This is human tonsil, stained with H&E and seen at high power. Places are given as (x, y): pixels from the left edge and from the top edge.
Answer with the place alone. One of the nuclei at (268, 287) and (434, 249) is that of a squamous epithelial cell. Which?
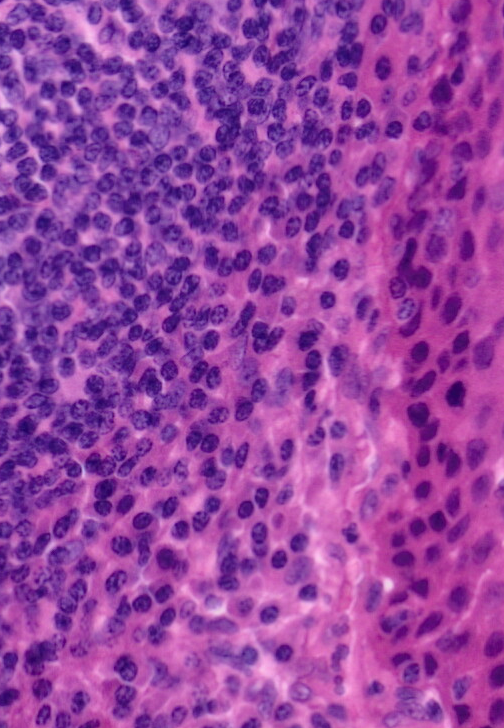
(434, 249)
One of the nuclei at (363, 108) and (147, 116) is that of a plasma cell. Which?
(363, 108)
